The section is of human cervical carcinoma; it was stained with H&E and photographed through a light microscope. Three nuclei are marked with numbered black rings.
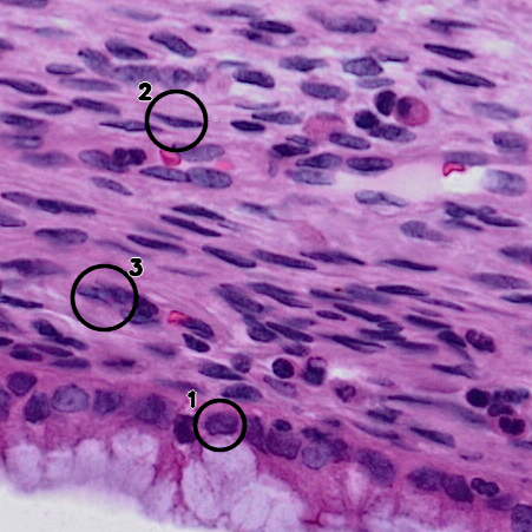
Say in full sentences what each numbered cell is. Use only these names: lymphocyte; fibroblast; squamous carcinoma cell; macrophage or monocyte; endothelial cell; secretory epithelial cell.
Cell 1 is a secretory epithelial cell. Cell 2 is a fibroblast. Cell 3 is an endothelial cell.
